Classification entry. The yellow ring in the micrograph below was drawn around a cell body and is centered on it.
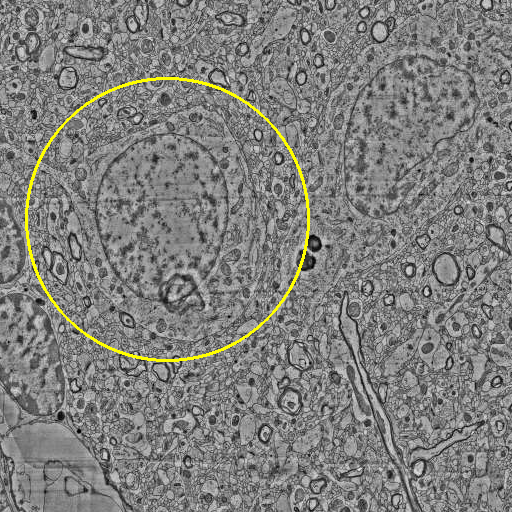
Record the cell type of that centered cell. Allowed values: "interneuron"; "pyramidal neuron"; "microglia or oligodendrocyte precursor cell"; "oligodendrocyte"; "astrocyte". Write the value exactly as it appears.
interneuron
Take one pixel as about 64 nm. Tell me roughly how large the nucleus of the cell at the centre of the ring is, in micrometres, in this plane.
The nucleus has a long axis of about 11 micrometres and a short axis of about 9 micrometres in this plane.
